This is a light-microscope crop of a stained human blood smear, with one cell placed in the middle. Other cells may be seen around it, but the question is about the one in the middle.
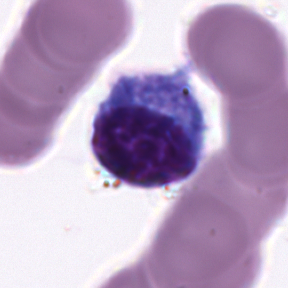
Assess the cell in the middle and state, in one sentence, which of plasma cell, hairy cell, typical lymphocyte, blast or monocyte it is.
The cell at the centre of the field is a plasma cell.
